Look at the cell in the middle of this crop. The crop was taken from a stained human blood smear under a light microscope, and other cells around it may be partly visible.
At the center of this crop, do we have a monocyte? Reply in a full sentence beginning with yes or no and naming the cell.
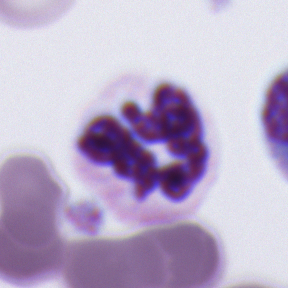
No, the cell in the middle is a segmented neutrophil; it is not a monocyte.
